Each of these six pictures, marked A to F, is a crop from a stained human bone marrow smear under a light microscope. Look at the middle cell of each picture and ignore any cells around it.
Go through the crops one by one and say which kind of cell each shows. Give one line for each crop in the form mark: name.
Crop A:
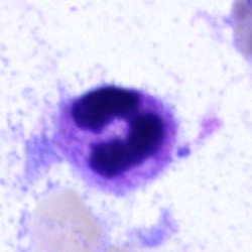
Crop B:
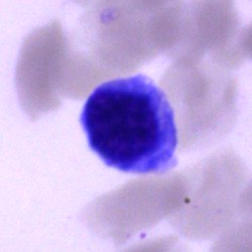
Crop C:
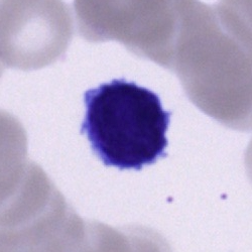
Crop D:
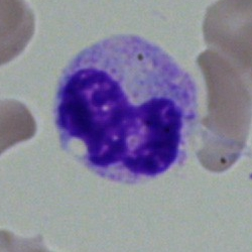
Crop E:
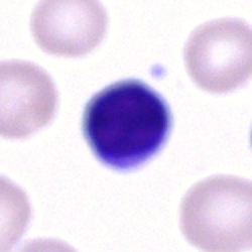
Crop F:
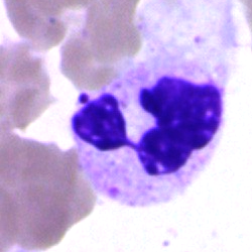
A: neutrophil
B: lymphocyte
C: lymphocyte
D: neutrophil
E: lymphocyte
F: neutrophil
